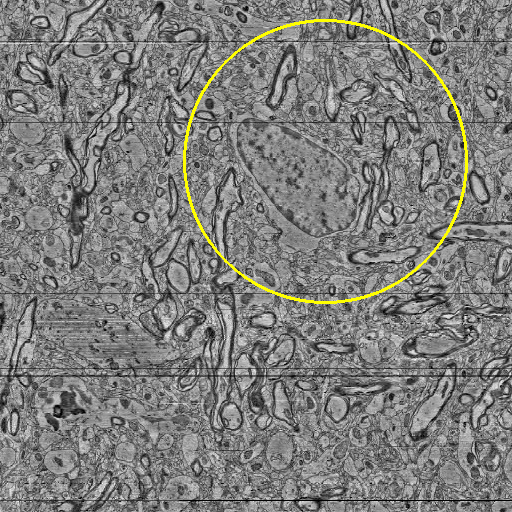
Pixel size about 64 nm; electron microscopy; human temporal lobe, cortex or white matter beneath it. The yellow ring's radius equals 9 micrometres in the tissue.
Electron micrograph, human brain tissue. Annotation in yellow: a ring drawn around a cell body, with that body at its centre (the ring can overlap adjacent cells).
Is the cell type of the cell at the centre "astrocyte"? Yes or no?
No, it is of another type.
